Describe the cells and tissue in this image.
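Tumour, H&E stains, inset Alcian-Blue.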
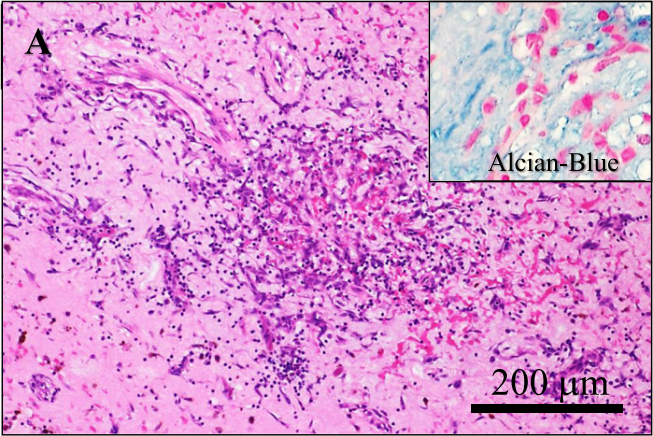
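A partly cellular proliferation of spindled cells lies around small blood vessels in a broad, pale, loose ground substance. Clusters of small round dark nuclei of inflammatory cells gather near the vessels.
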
